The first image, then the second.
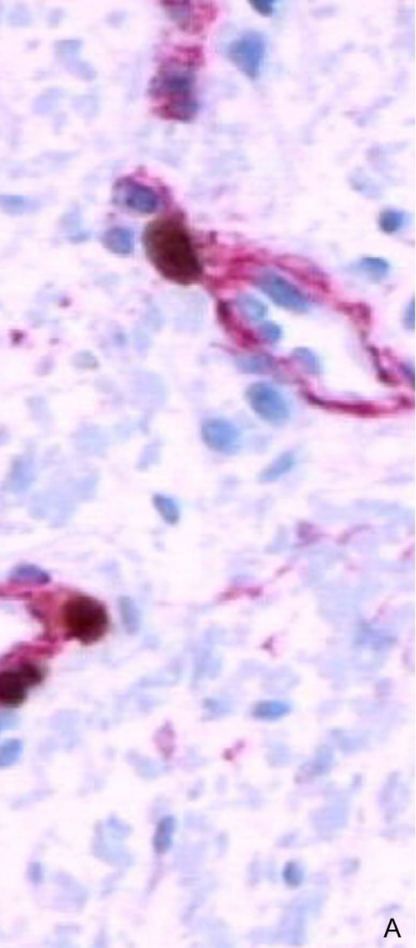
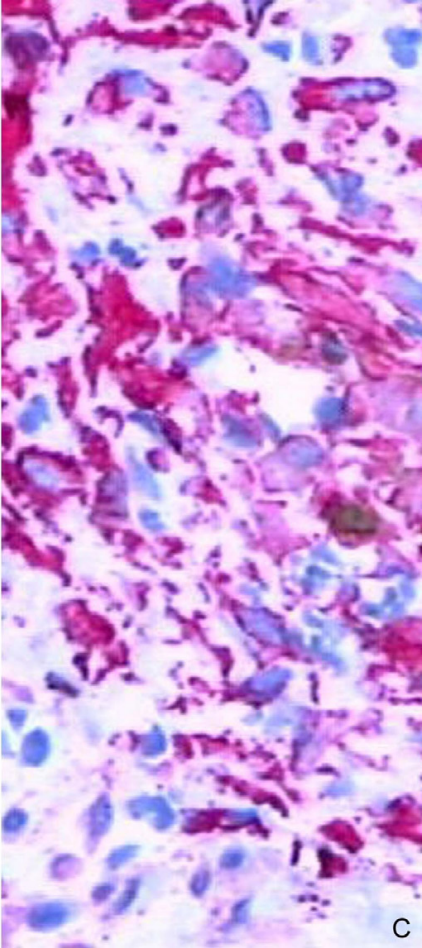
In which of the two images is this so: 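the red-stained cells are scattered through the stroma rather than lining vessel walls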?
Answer: the second image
